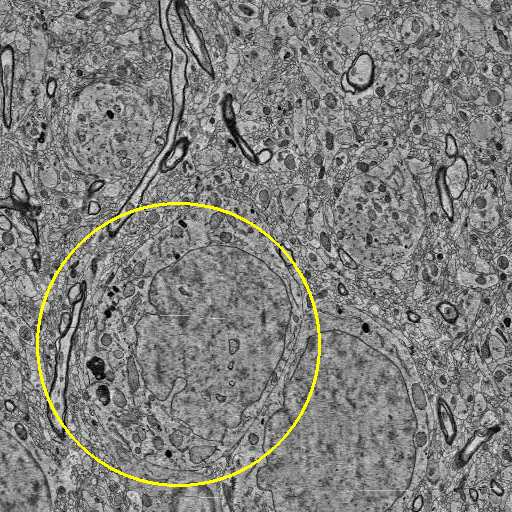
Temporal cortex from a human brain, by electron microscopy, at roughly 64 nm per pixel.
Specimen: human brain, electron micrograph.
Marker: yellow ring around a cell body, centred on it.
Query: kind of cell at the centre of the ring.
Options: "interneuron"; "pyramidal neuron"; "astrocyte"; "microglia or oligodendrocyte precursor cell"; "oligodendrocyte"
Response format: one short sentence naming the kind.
This cell body belongs to a pyramidal neuron.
